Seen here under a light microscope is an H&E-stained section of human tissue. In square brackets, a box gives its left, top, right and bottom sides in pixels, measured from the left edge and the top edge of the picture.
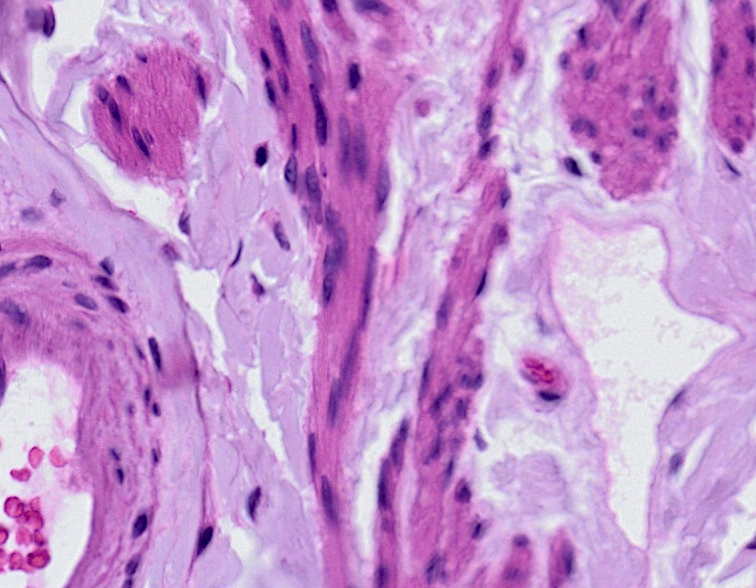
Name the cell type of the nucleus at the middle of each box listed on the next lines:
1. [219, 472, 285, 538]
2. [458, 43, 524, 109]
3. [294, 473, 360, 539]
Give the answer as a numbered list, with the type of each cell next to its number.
1. fibroblast
2. smooth muscle cell
3. smooth muscle cell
